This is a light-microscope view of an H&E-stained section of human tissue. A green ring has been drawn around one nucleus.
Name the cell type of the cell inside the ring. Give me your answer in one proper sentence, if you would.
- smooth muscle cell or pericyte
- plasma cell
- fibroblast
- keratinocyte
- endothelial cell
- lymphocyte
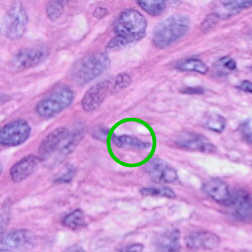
Histopathologically, the cell inside the ring is a fibroblast.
